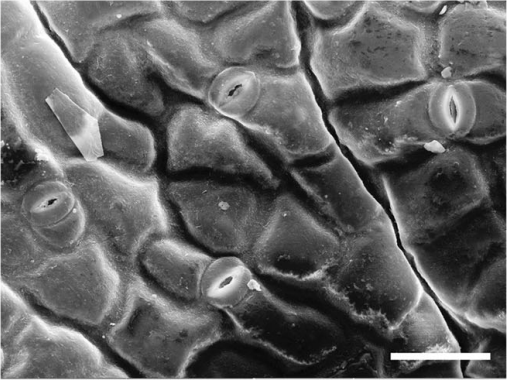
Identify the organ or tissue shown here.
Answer: Leaf epidermis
